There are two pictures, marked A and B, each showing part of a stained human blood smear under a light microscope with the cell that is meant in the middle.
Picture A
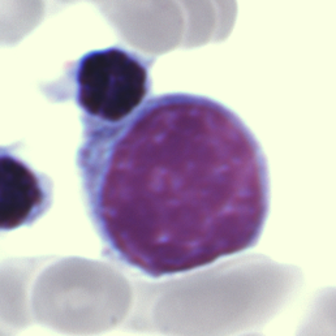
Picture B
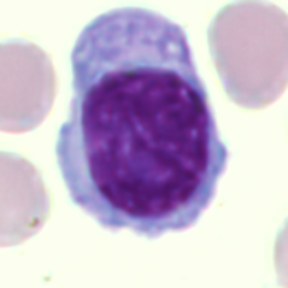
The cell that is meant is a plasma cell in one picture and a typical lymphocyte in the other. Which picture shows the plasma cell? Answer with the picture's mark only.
B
